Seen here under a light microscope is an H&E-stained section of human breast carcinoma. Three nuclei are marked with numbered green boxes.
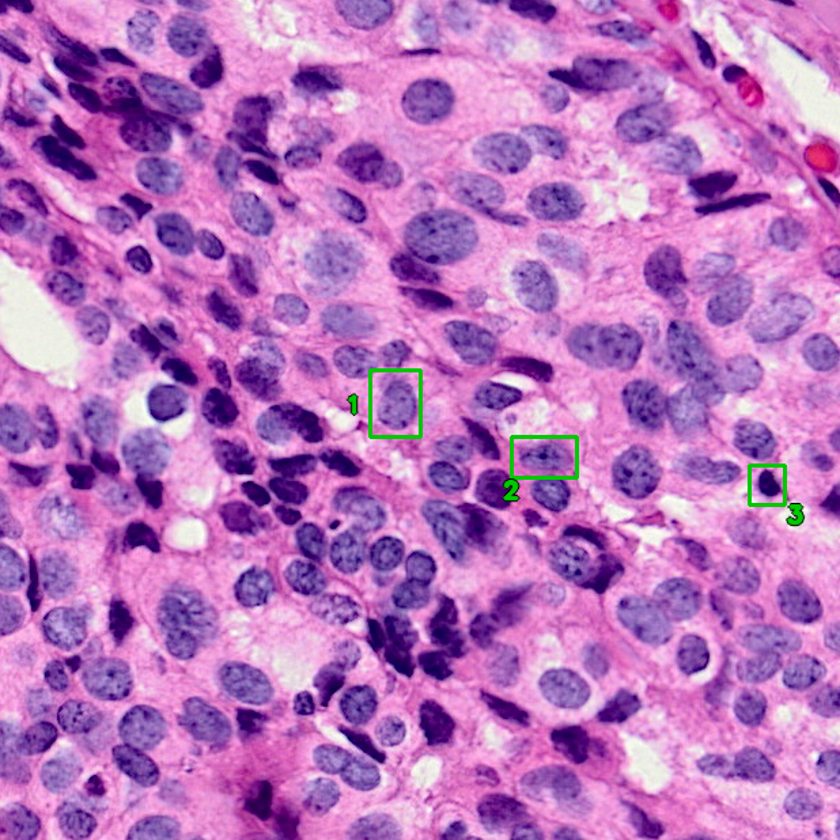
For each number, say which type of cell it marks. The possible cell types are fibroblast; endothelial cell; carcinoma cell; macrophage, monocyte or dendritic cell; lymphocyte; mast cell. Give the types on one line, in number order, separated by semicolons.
carcinoma cell; carcinoma cell; lymphocyte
